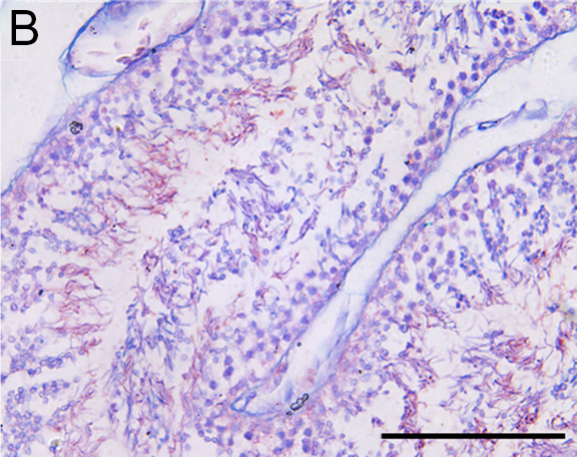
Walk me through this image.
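Parts of two or three tubules crowded with germ cells are separated by thin blue-stained walls and narrow interstitial spaces. Round cells with blue-purple nuclei lie along the walls, while numerous slender pink-magenta sperm cells form clustered, radiating bundles within the tubules.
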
